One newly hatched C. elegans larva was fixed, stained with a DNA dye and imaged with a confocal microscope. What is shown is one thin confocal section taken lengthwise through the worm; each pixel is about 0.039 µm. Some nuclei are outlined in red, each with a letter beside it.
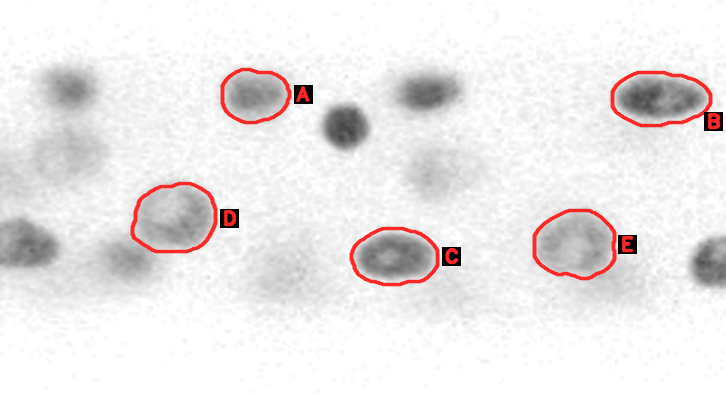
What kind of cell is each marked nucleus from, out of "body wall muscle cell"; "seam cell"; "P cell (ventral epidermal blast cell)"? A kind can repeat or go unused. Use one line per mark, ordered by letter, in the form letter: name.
A: body wall muscle cell
B: body wall muscle cell
C: P cell (ventral epidermal blast cell)
D: seam cell
E: seam cell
